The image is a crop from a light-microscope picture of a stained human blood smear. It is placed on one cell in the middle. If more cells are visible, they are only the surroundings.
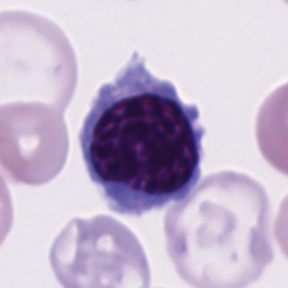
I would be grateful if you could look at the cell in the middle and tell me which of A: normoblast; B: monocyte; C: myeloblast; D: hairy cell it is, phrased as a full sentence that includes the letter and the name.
The correct choice is option A, which identifies the middle cell as a normoblast.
